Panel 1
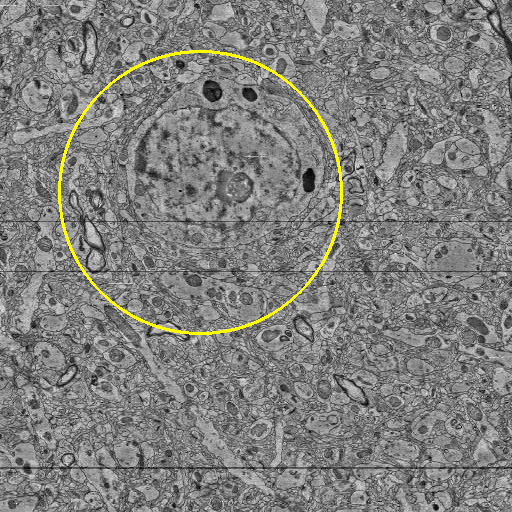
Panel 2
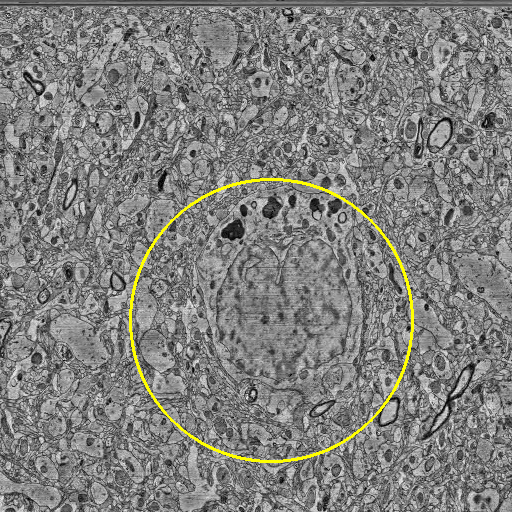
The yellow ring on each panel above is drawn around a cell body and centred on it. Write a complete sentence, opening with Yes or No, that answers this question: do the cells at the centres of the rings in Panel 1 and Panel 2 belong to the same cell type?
Yes, both cells belong to the same cell type.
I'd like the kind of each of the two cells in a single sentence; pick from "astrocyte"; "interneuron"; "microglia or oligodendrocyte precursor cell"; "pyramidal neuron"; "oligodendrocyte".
Each of the ringed cells, first and second, is an interneuron.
